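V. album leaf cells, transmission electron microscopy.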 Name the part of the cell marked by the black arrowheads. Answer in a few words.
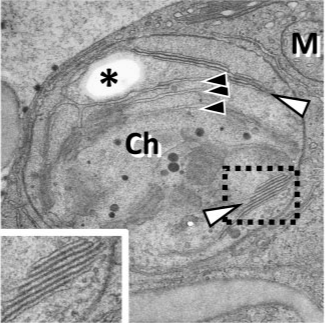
Single layered thylakoids.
